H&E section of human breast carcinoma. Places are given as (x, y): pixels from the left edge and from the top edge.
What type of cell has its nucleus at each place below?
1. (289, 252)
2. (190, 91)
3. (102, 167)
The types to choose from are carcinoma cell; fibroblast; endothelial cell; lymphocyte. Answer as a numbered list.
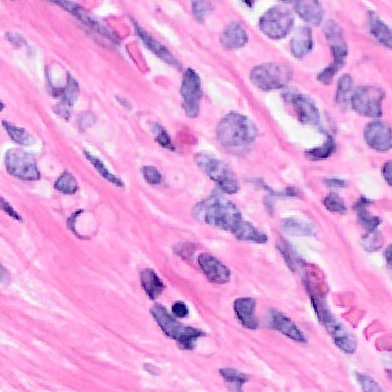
1. endothelial cell
2. endothelial cell
3. fibroblast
